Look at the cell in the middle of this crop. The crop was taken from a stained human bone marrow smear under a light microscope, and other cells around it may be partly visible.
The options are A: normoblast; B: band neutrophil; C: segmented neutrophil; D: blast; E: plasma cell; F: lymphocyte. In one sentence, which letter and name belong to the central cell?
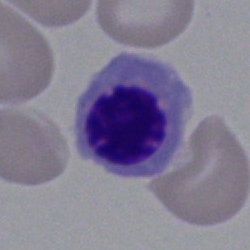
In this crop the central cell is a normoblast, which option A correctly states.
